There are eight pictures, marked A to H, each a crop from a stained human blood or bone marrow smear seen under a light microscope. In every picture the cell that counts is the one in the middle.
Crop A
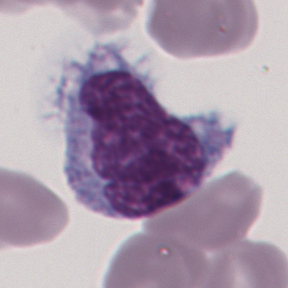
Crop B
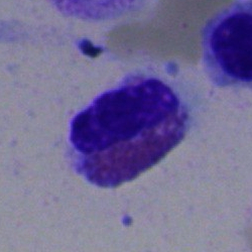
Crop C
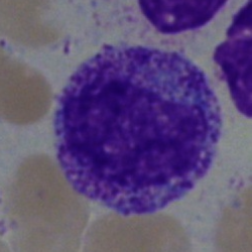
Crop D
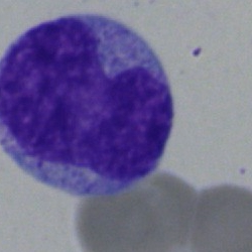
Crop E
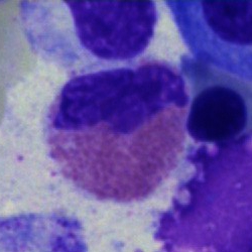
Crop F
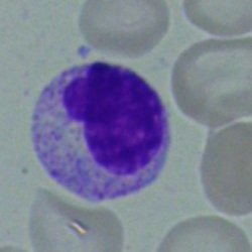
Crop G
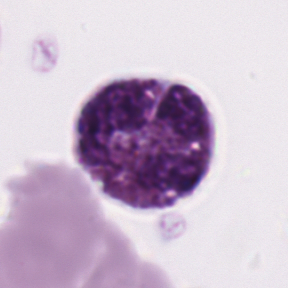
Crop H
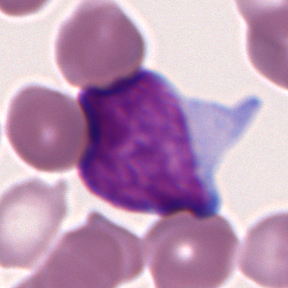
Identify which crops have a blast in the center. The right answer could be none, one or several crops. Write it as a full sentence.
Only a single crop, crop H, shows a blast.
